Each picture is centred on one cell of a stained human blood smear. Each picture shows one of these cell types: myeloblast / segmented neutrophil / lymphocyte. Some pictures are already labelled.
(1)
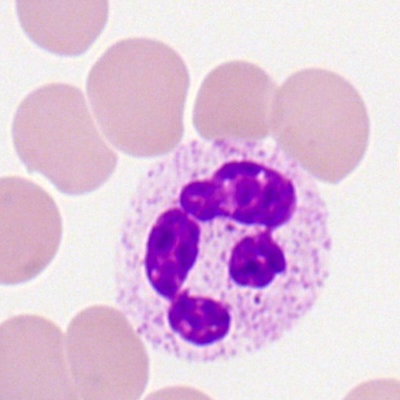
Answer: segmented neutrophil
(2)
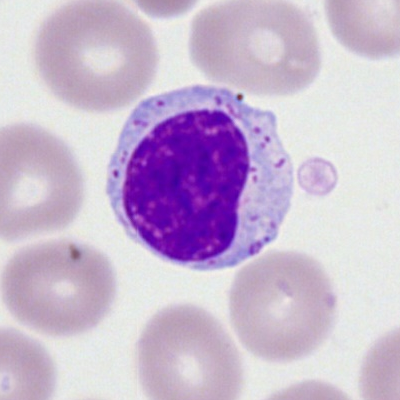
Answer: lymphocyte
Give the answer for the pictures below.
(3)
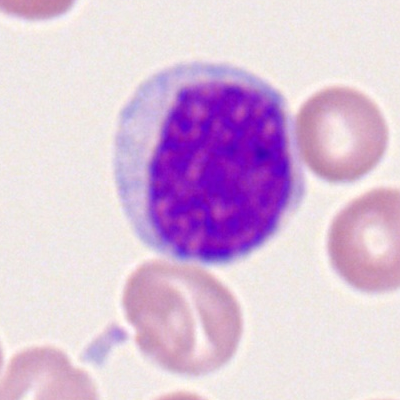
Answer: lymphocyte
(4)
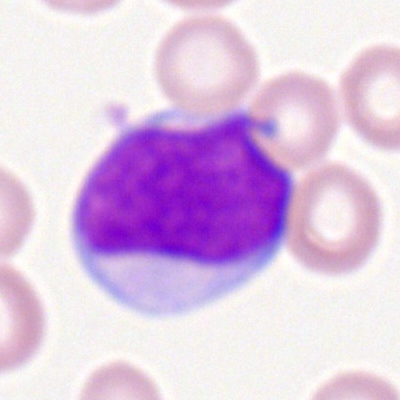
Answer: myeloblast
